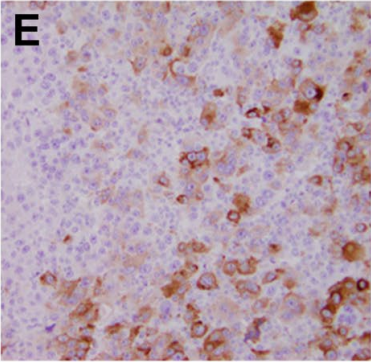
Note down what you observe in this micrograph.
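The brown colour fills the cytoplasm of a scattered, patchy portion of the cells, leaving many neighbours unstained. Stained cells are rounded or polygonal, some with a blue nucleus showing through a brown rim of cytoplasm.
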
